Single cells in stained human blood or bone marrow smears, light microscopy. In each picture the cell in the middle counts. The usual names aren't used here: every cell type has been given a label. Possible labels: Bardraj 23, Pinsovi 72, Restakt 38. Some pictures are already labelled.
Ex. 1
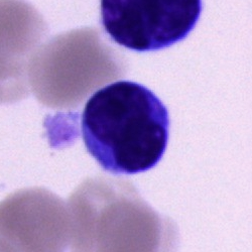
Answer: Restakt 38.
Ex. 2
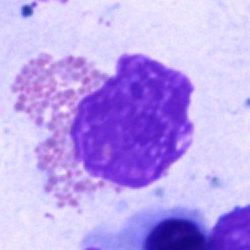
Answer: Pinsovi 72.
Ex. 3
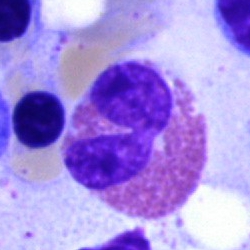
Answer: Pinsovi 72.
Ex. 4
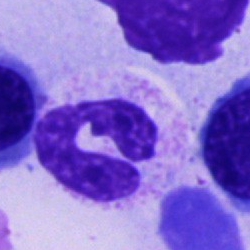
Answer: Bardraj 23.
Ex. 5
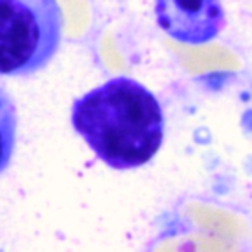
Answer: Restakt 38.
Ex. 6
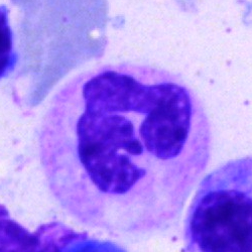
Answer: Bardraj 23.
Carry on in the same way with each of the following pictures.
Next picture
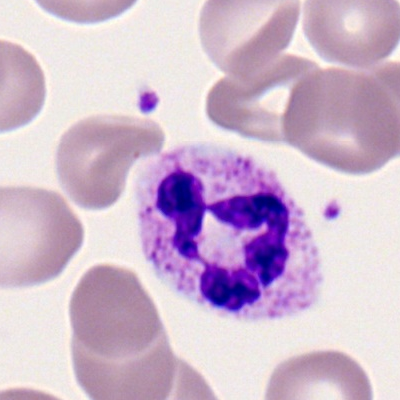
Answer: Bardraj 23.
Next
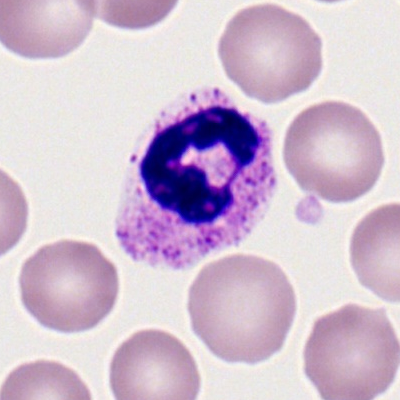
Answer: Bardraj 23.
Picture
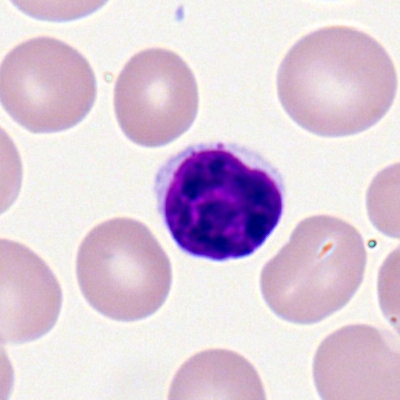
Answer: Restakt 38.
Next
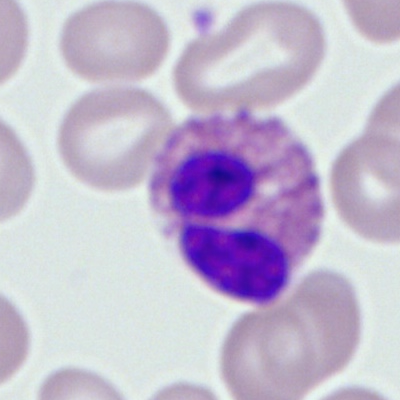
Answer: Pinsovi 72.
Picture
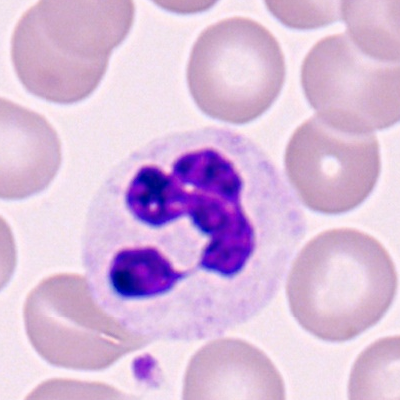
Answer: Bardraj 23.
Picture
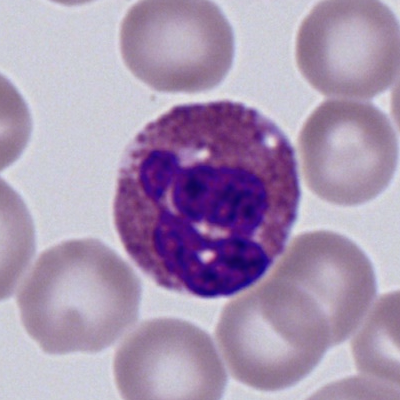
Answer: Pinsovi 72.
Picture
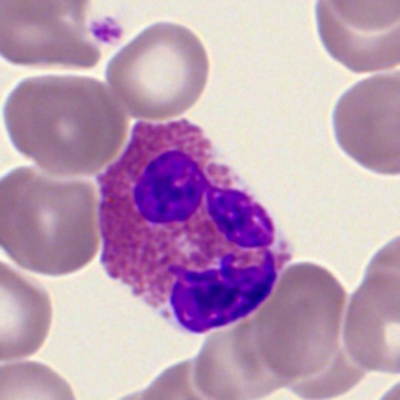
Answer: Pinsovi 72.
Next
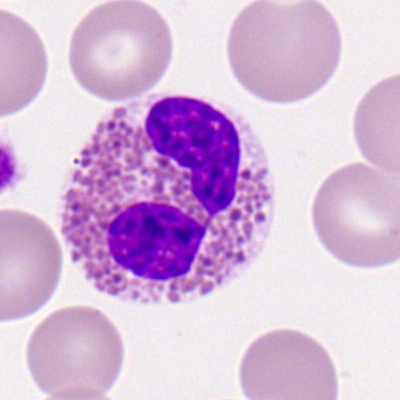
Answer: Pinsovi 72.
